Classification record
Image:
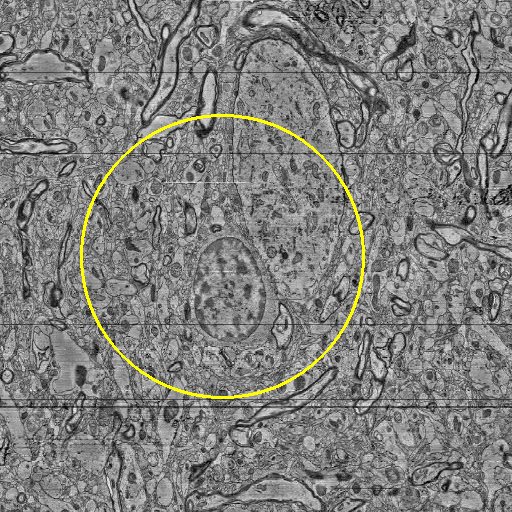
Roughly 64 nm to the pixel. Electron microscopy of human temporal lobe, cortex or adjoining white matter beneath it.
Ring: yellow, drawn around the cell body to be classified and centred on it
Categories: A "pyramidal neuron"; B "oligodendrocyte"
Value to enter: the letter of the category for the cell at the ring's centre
B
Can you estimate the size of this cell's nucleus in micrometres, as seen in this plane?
In this plane, the nucleus is roughly 7 by 5 micrometres.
